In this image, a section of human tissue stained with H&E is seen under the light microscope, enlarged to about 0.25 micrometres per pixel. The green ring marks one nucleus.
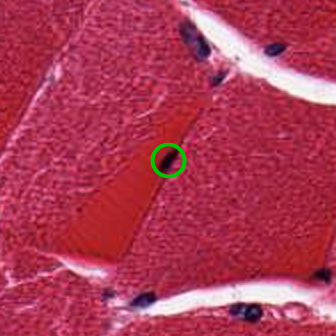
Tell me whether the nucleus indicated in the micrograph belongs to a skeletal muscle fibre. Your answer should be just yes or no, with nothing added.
yes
